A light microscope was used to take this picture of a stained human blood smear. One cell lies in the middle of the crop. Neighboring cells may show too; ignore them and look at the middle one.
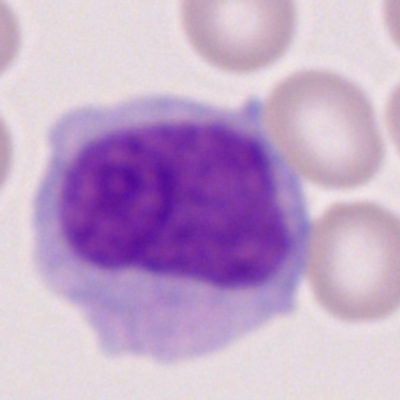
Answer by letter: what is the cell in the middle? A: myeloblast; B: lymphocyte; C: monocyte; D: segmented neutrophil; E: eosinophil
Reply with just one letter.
C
